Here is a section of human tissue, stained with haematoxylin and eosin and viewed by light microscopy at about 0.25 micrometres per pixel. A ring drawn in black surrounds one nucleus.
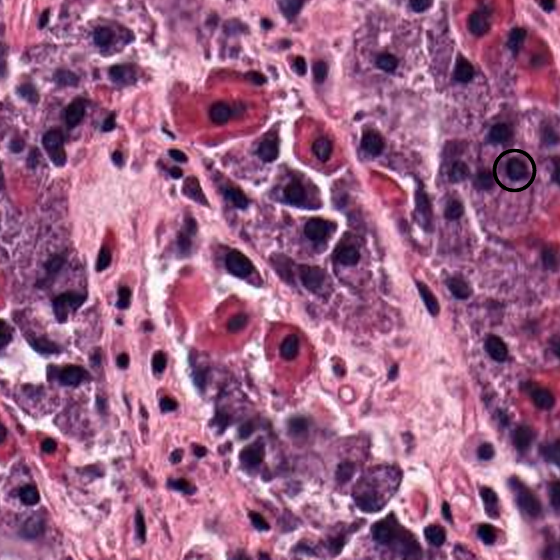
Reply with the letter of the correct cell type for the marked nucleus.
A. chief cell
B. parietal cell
A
